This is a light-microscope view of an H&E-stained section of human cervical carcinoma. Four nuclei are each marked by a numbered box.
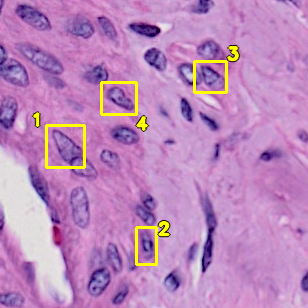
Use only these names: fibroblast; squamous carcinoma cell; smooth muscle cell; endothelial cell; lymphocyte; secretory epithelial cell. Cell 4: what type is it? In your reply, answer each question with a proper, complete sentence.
Cell 4 in the field of view is a smooth muscle cell.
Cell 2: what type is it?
The cell that bears the number 2 is a smooth muscle cell.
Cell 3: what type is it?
The cell referenced by the number 3 is an endothelial cell in this field.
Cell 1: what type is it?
Recognised here as a smooth muscle cell is the cell numbered 1.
